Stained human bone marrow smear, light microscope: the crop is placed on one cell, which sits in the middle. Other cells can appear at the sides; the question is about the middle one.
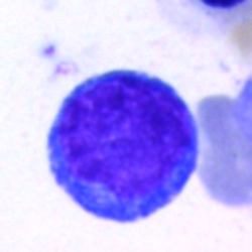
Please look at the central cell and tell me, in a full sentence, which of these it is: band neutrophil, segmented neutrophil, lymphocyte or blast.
In short, the cell at the center is a lymphocyte.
